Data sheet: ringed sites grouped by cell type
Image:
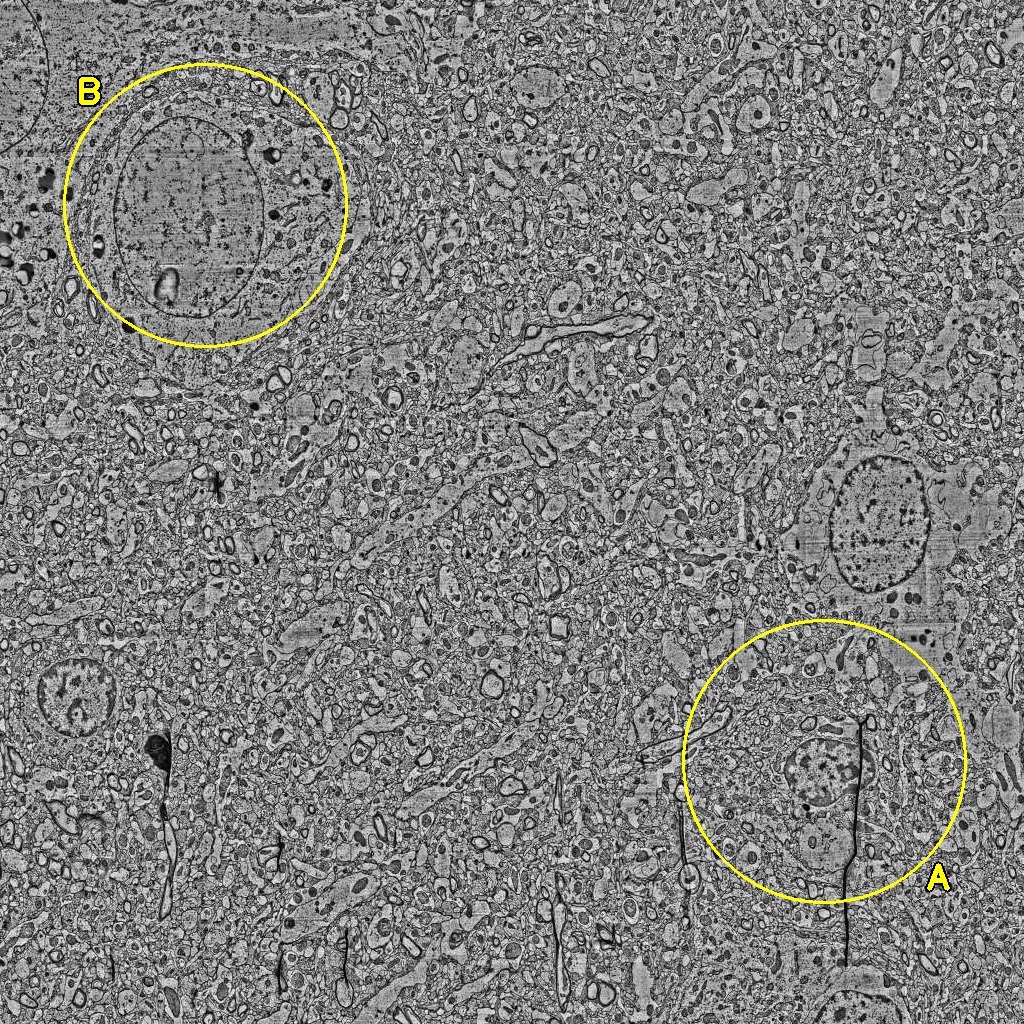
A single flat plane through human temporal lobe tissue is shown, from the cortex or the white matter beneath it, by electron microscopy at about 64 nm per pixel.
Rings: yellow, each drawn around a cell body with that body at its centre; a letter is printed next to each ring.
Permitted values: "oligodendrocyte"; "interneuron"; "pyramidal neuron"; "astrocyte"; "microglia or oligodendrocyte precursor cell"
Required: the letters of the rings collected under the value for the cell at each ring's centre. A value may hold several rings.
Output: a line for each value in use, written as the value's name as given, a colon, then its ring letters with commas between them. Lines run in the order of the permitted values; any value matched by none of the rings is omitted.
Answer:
pyramidal neuron: B
microglia or oligodendrocyte precursor cell: A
